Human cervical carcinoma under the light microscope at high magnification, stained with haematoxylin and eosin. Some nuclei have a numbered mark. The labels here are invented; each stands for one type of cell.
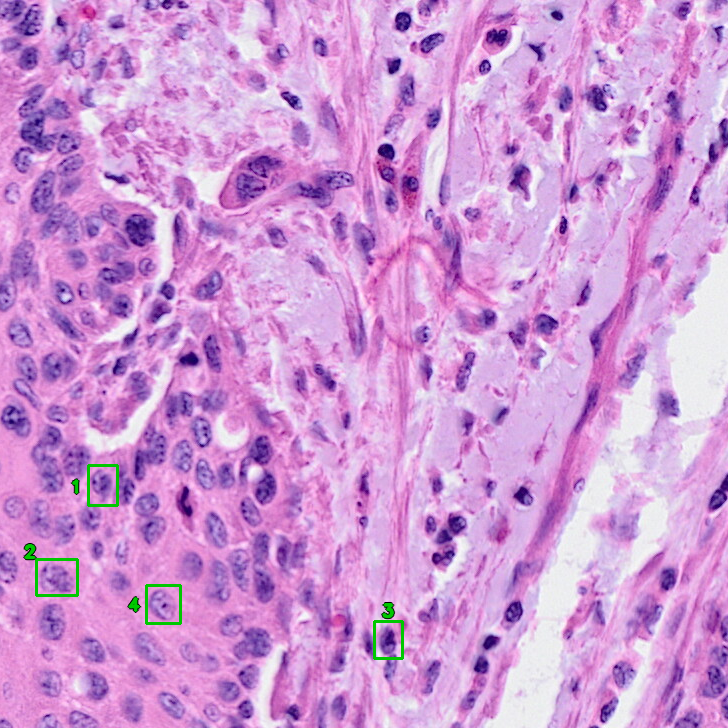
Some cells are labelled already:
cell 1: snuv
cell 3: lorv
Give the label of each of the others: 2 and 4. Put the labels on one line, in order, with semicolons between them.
snuv; snuv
